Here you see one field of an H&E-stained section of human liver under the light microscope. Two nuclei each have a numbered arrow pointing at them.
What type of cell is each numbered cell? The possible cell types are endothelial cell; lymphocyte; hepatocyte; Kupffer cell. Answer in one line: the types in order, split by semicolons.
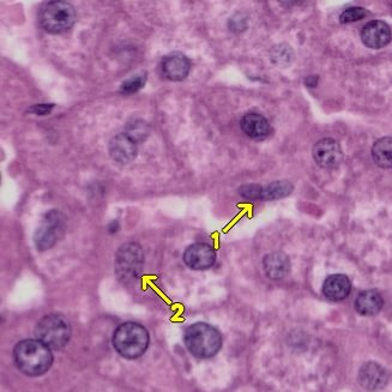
Kupffer cell; hepatocyte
